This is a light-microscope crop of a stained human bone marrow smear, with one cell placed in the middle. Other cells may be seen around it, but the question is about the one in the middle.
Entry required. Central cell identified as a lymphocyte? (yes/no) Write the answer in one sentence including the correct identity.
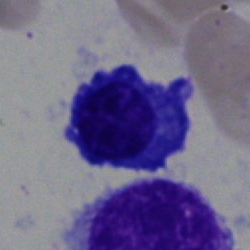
No, in this crop the middle cell is a plasma cell, not a lymphocyte.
